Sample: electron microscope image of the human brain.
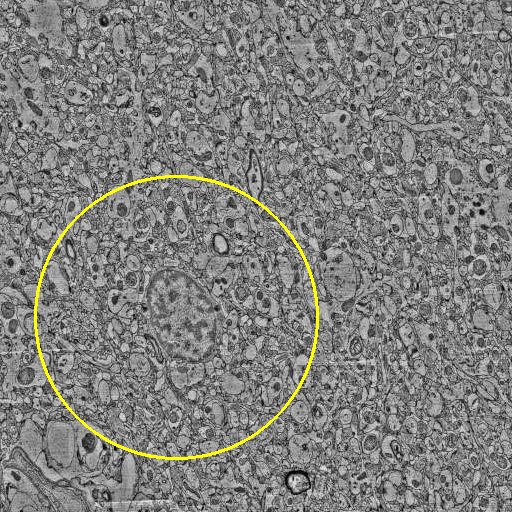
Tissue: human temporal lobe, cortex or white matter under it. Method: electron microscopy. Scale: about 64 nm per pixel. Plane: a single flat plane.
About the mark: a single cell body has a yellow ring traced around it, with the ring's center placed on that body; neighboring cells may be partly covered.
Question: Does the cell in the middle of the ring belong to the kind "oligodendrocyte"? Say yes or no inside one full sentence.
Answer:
Yes, the cell at the ring's center in this image belongs to that kind.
